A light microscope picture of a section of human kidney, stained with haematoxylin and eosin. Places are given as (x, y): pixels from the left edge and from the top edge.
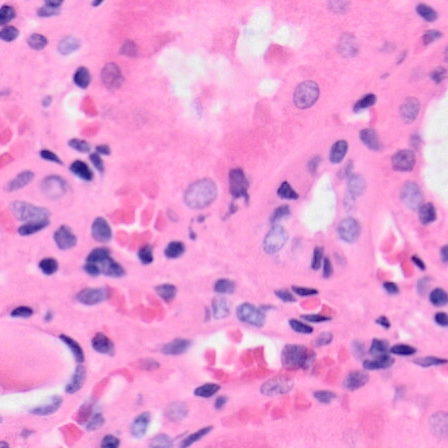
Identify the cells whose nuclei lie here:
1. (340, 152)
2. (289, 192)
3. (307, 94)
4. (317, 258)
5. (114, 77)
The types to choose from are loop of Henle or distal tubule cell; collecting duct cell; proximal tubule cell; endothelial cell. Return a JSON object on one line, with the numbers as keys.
{"1": "collecting duct cell", "2": "collecting duct cell", "3": "proximal tubule cell", "4": "collecting duct cell", "5": "proximal tubule cell"}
